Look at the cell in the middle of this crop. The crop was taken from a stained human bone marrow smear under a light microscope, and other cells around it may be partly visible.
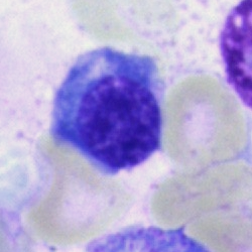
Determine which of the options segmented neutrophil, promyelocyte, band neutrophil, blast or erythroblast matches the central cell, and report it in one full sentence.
By type, the central cell of the crop is an erythroblast.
